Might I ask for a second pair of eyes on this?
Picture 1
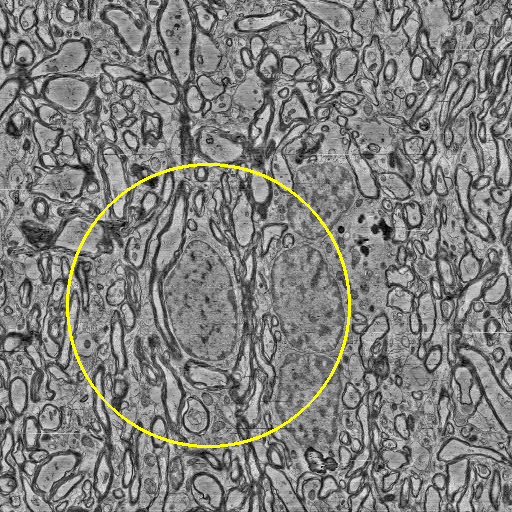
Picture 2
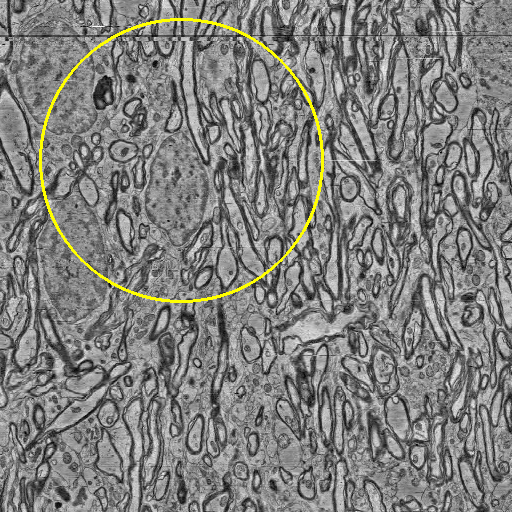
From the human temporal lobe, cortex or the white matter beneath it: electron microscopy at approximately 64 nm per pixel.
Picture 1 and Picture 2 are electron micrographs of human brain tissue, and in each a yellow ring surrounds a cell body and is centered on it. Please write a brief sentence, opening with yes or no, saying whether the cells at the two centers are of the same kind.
Yes, the cells are of the same kind.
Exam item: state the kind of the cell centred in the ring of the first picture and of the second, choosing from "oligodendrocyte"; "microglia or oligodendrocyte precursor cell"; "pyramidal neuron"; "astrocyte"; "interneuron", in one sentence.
The ring centre holds a microglial cell or oligodendrocyte precursor cell in each of the two pictures.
